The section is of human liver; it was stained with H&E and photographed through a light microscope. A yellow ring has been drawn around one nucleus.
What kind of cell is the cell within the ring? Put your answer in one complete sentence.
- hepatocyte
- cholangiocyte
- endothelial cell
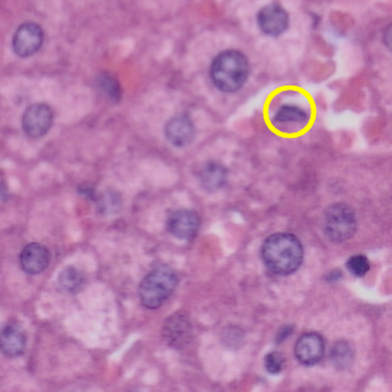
At the level of cell identity, the cell within the ring is an endothelial cell.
